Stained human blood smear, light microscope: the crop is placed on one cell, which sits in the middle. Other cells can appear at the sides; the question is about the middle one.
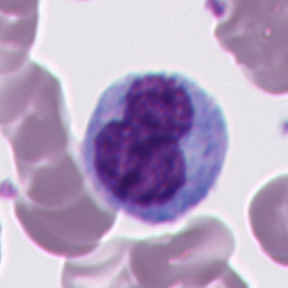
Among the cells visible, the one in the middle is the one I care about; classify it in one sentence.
The middle cell in this particular crop is a monocyte.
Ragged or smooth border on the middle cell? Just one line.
The border of this cell runs smooth and free of any projections.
